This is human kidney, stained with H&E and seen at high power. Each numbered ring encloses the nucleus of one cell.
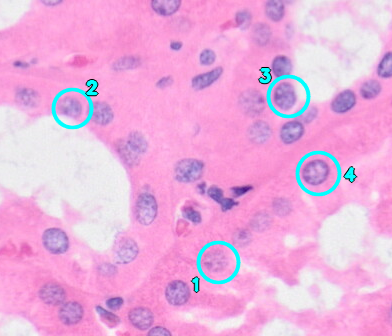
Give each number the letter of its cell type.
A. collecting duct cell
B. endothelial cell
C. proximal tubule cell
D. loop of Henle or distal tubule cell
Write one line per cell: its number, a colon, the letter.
1: C
2: D
3: D
4: C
